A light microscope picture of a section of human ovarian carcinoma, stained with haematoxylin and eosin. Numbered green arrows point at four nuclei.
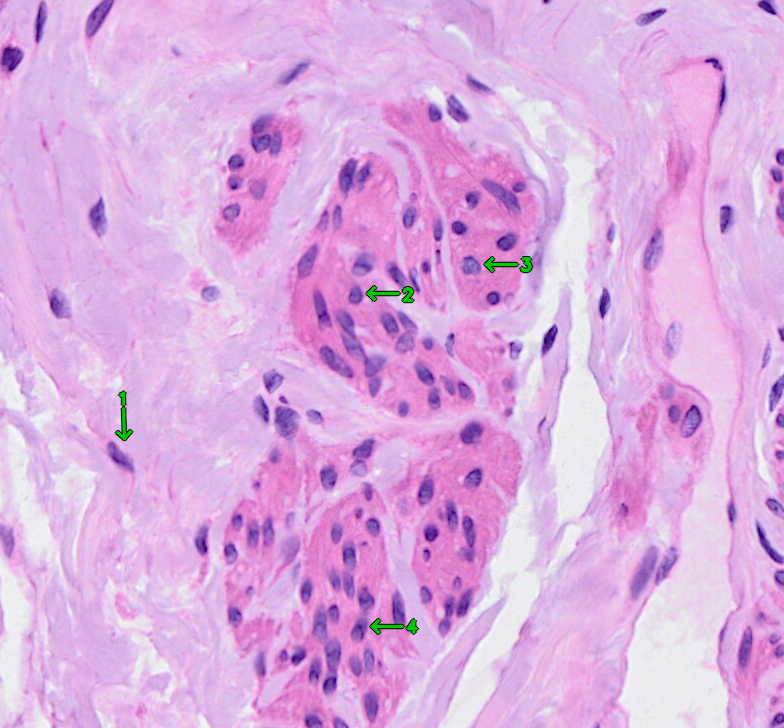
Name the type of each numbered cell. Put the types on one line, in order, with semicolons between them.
fibroblast; smooth muscle cell; smooth muscle cell; smooth muscle cell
